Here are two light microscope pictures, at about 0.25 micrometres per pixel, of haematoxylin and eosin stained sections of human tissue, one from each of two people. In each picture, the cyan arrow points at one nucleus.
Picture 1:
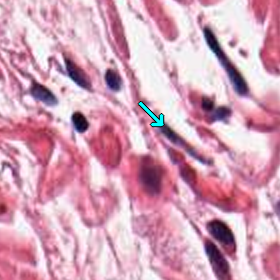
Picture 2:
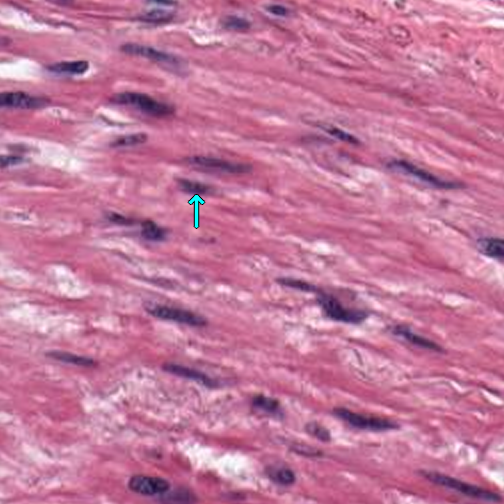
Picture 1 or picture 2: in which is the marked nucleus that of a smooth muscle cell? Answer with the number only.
2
